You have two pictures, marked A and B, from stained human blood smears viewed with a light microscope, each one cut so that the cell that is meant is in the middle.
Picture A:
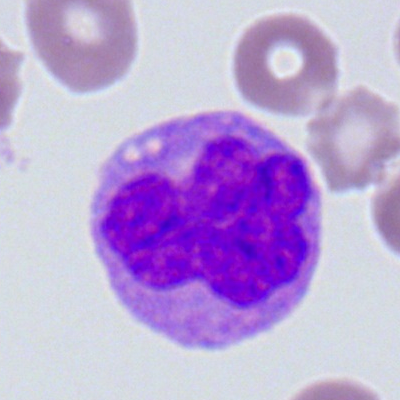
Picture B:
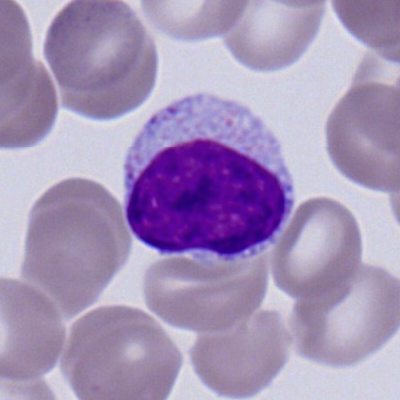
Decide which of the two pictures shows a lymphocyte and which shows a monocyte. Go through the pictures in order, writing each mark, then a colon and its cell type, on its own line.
A: monocyte
B: lymphocyte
